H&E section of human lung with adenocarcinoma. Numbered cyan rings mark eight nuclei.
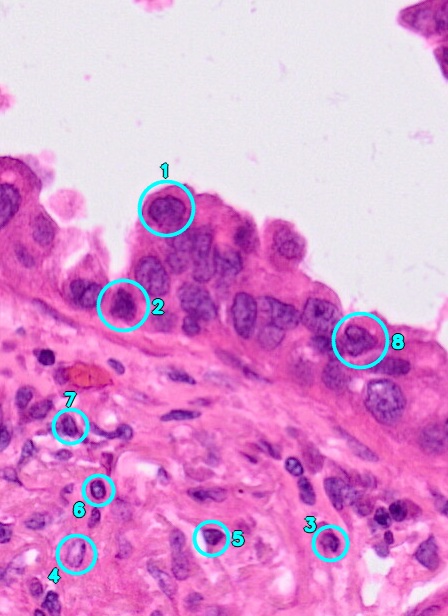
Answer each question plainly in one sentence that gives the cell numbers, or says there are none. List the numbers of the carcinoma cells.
The cells numbered 1, 2 and 8 fall into the category of carcinoma cells.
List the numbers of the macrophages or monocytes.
The only cell among those numbered to be a macrophage or monocyte is number 4.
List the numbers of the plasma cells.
The cells marked with the numbers 3, 5 and 7 are plasma cells.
